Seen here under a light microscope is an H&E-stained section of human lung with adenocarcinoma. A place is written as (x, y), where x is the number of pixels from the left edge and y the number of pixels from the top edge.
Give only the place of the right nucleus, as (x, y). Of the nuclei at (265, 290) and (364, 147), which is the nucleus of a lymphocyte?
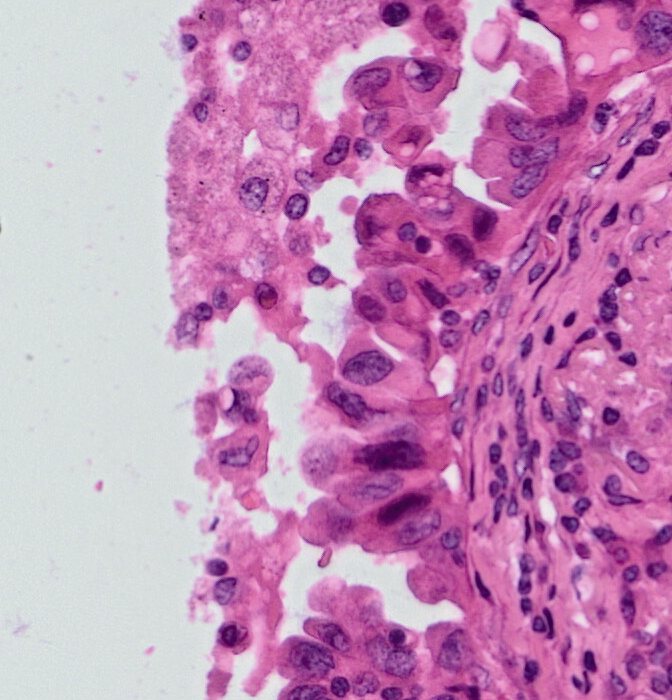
(364, 147)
